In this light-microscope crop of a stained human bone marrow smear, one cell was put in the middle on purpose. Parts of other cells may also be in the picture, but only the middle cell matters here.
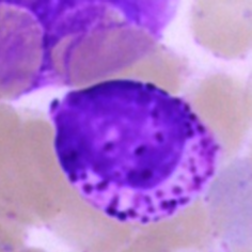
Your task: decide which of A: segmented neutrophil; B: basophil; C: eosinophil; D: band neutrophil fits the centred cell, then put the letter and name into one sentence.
Option B is right in identifying the central cell as a basophil.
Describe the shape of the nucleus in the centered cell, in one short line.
The nucleus is one compact mass, round, oval or kidney-shaped in outline.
